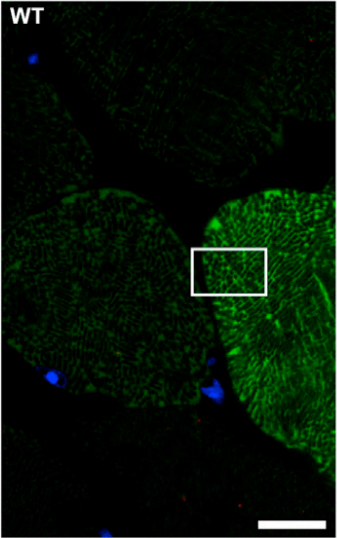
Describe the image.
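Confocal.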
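Within each fibre the green signal forms a regular, fine lattice of interconnected threads. Fibres abut one another along darker boundaries. A few blue nuclei lie at the edges of the fibres and between them. Red dots are very sparse in this field.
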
